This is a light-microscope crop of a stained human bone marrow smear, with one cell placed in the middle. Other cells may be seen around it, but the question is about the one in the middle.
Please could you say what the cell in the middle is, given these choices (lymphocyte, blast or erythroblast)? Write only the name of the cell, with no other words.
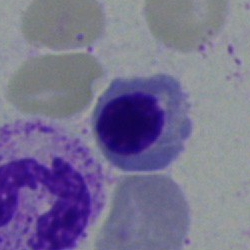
erythroblast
